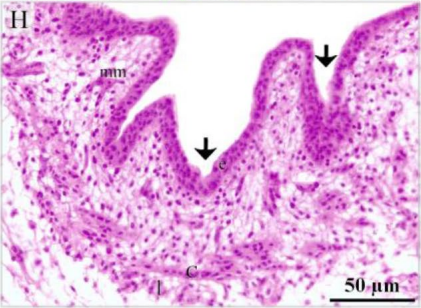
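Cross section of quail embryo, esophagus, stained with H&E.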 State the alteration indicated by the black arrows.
Mucosal folding.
